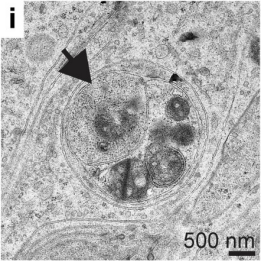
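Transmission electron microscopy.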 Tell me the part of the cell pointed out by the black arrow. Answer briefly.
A: Autophagosomes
